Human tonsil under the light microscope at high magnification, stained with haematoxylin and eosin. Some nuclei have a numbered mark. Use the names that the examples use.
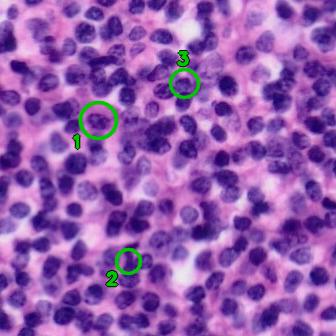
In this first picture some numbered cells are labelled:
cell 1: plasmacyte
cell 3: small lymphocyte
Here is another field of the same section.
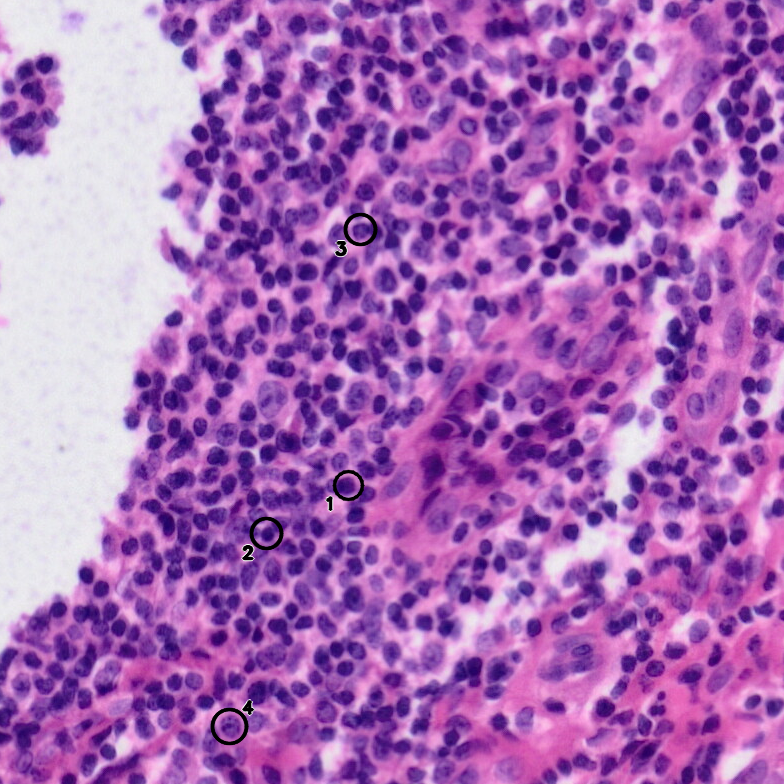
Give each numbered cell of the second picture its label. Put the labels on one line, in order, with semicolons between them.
small lymphocyte; small lymphocyte; small lymphocyte; plasmacyte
